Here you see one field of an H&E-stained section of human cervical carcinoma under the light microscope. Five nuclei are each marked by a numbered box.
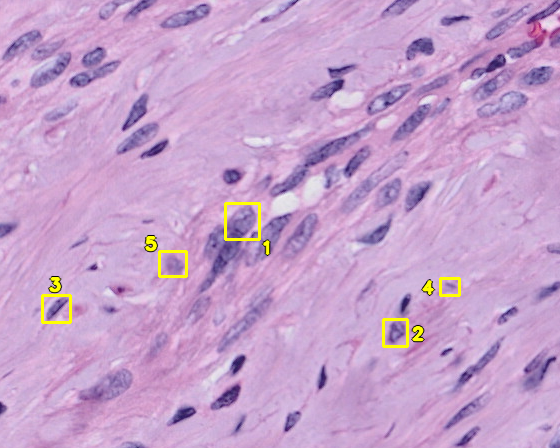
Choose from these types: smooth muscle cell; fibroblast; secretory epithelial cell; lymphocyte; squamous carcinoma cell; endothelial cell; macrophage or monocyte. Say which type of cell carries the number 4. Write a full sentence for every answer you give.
That cell with number 4 is a smooth muscle cell.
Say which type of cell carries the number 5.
The nucleus labelled 5 belongs to a smooth muscle cell.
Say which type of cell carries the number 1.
Here, the cell given the number 1 is an endothelial cell.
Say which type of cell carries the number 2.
The label 2 in this section denotes a smooth muscle cell.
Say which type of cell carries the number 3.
The cell carrying label 3 is identified as a fibroblast.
